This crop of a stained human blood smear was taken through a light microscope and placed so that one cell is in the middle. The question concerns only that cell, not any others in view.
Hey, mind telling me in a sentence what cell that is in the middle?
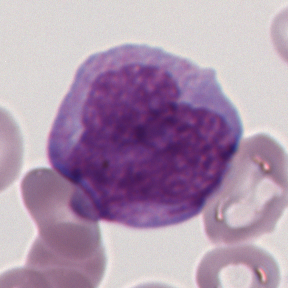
Seen at the centre of the crop is an atypical promyelocyte.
